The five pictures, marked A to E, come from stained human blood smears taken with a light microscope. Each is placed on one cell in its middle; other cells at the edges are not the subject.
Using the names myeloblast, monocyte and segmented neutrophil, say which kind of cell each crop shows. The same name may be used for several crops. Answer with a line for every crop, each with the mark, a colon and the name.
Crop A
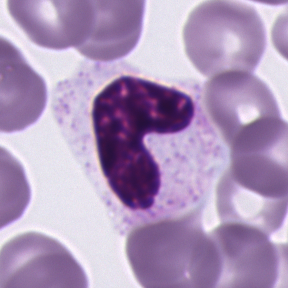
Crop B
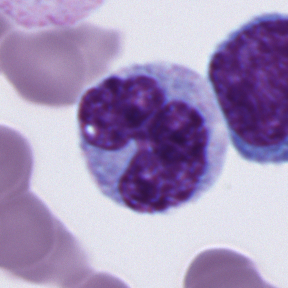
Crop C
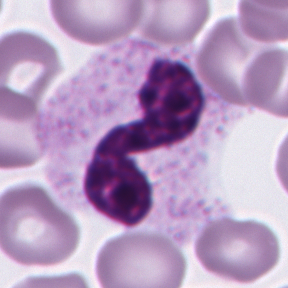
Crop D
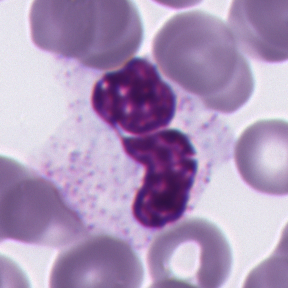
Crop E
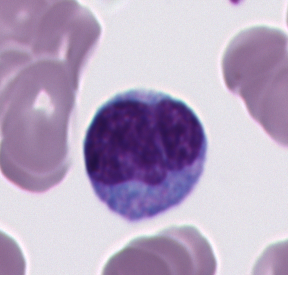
A: segmented neutrophil
B: monocyte
C: segmented neutrophil
D: segmented neutrophil
E: monocyte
